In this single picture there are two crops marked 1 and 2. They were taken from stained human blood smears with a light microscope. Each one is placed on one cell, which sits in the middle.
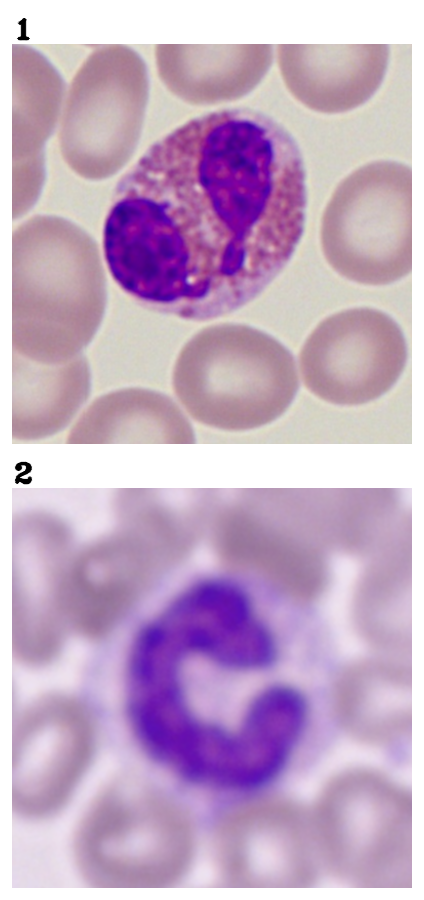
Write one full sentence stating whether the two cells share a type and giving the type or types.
No, crop 1 represents an eosinophil, and crop 2 represents a band neutrophil.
